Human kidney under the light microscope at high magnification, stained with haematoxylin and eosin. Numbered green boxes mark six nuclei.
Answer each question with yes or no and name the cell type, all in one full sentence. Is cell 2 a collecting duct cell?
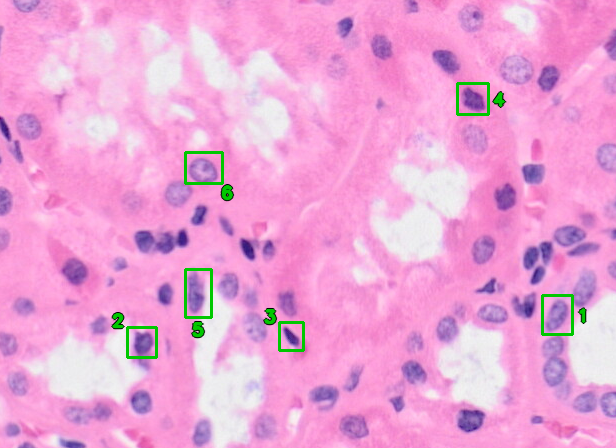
No, cell 2 is not a collecting duct cell, but is instead a loop of Henle or distal tubule cell.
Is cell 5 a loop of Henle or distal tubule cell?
Yes, the cell referred to as number 5 is a loop of Henle or distal tubule cell.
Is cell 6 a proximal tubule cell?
Yes, the cell identified by number 6 is a proximal tubule cell.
